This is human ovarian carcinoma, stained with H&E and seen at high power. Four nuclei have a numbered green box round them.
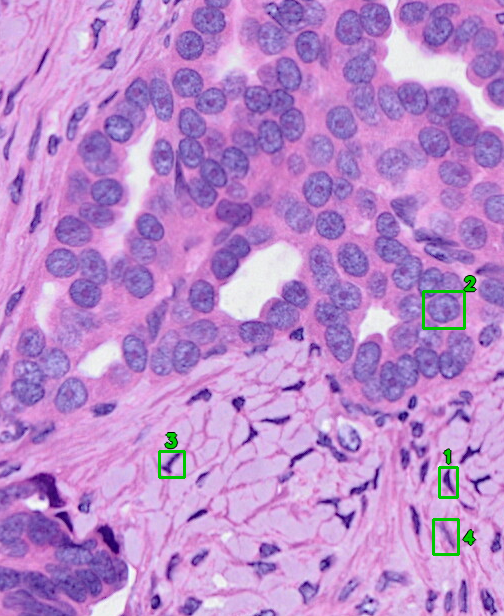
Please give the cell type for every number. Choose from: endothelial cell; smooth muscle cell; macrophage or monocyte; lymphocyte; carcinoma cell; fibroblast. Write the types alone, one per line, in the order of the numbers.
fibroblast
carcinoma cell
fibroblast
fibroblast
